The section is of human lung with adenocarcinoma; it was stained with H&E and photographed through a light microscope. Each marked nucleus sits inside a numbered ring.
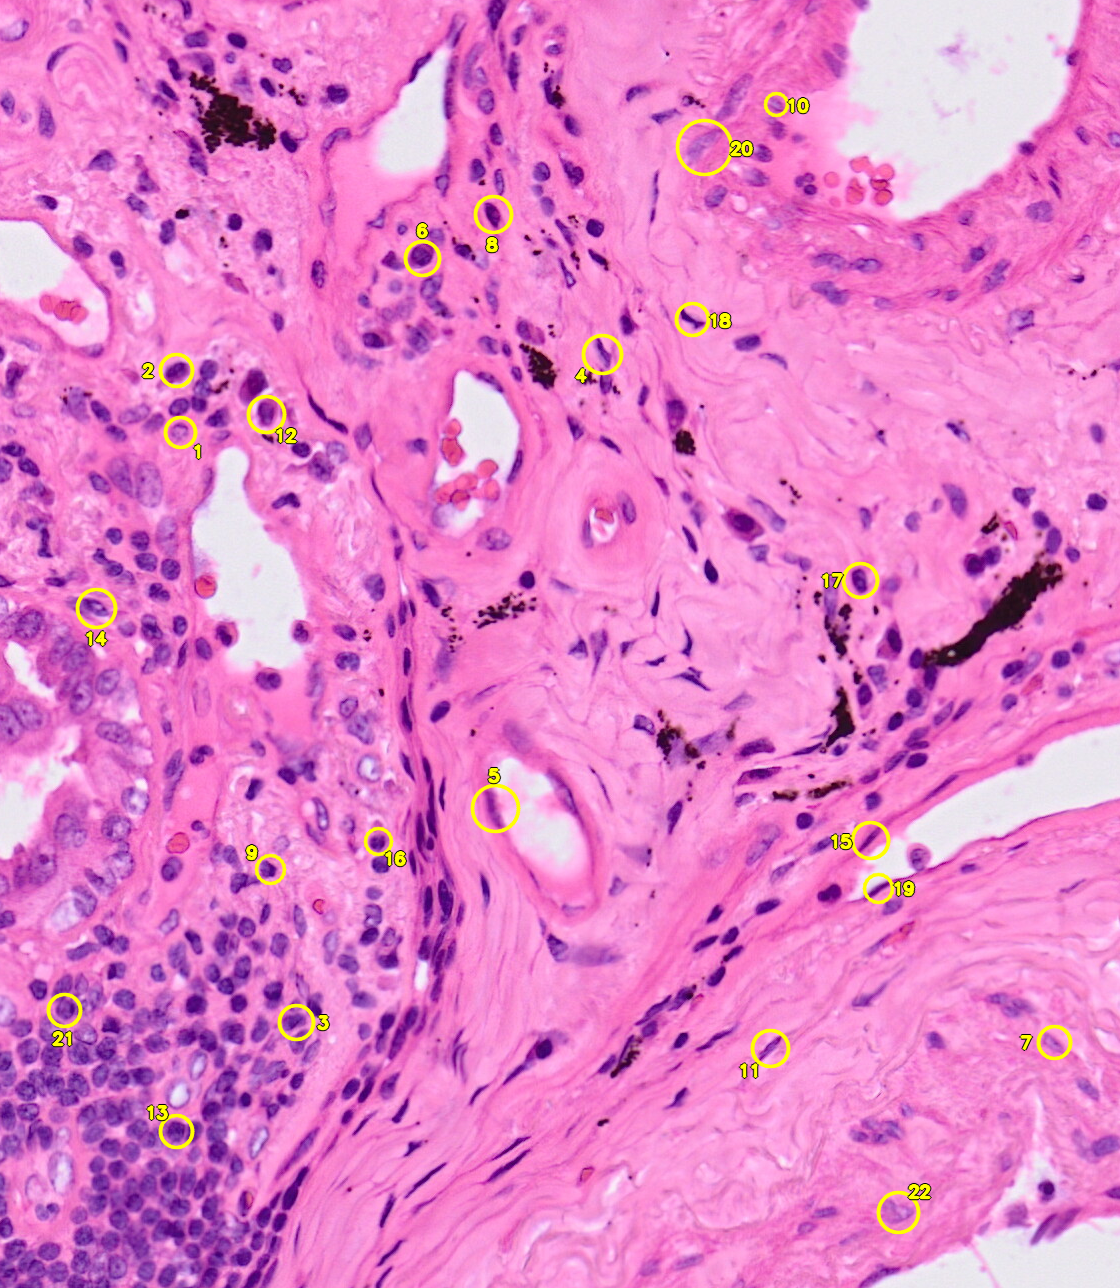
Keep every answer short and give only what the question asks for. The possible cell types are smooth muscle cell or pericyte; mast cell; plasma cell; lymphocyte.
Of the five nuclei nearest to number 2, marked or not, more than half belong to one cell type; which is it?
lymphocyte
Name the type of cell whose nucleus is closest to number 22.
smooth muscle cell or pericyte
